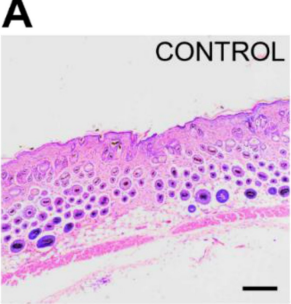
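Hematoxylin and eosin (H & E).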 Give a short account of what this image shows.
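Skin cut so that the hair follicles appear in cross-section. A thin purple surface layer of epidermis overlies a pink, collagen-rich dermis. In the deeper dermis many round follicle profiles are packed side by side, each ringed by concentric layers of purple-staining epithelial cells, some with a central hair shaft. The profiles vary in size and become denser towards the lower dermis. Below them runs a thin band of pink muscle, and beneath it pale, loose subcutaneous tissue.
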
